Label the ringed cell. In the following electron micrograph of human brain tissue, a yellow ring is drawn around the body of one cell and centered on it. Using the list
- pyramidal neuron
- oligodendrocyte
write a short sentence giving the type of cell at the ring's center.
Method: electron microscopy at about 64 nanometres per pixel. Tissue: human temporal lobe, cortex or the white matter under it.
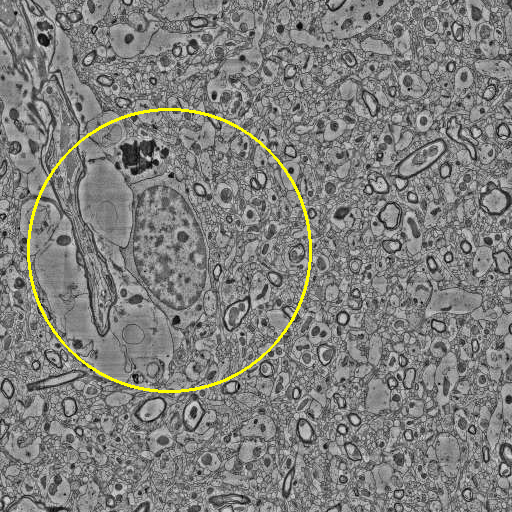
The cell body at the ring's center is that of an oligodendrocyte.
